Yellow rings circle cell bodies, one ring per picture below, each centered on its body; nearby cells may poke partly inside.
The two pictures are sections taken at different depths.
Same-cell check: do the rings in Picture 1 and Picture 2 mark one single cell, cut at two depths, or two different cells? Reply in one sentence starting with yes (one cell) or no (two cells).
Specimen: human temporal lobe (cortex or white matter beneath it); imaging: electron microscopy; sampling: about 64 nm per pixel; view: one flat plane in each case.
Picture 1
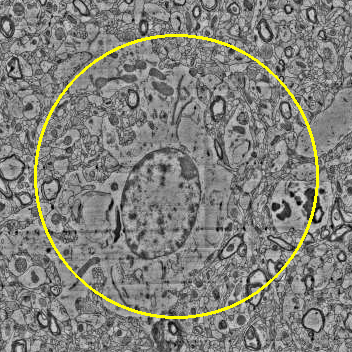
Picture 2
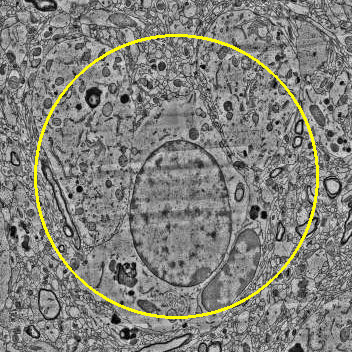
No, the two rings outline two separate cells in this micrograph.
